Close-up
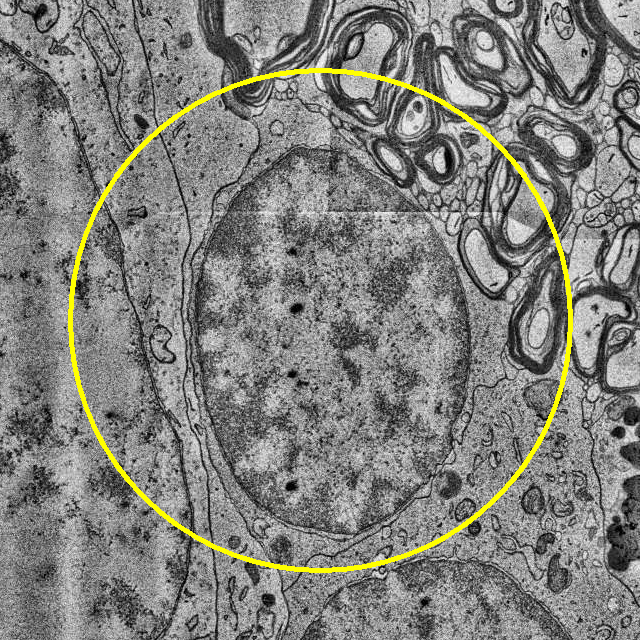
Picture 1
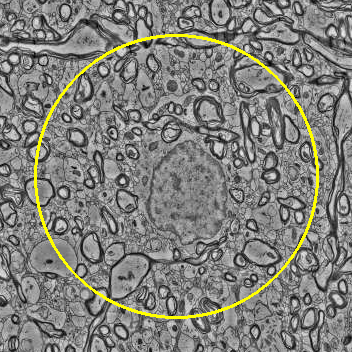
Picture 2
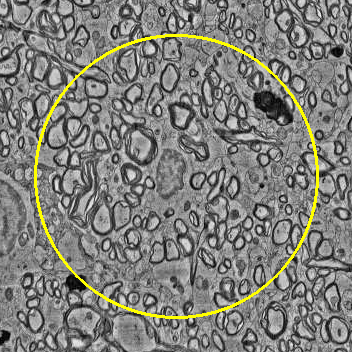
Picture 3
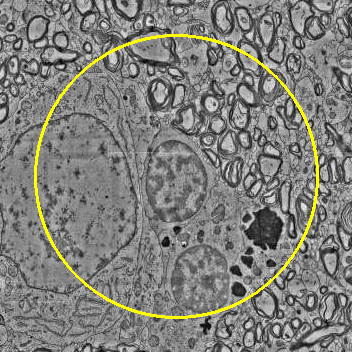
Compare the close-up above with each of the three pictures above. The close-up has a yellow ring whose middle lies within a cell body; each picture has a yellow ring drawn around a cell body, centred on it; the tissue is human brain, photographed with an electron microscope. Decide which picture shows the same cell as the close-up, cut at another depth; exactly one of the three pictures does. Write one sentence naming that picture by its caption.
The cell marked in Picture 3 is the one enlarged in the close-up.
